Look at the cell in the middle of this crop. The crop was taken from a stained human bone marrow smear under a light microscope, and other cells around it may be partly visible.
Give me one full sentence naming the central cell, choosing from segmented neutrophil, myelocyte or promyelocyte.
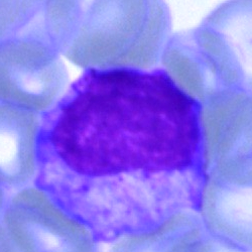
The middle cell in this particular crop is a promyelocyte.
